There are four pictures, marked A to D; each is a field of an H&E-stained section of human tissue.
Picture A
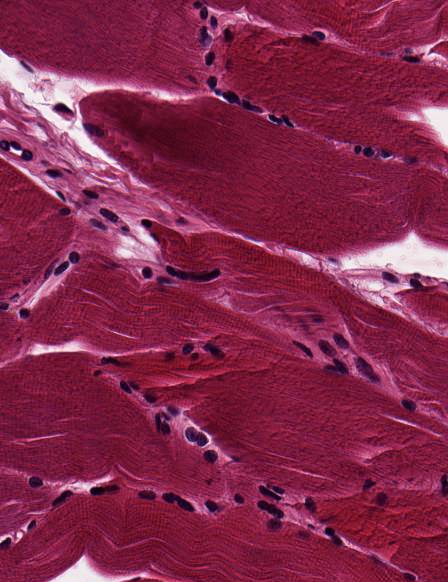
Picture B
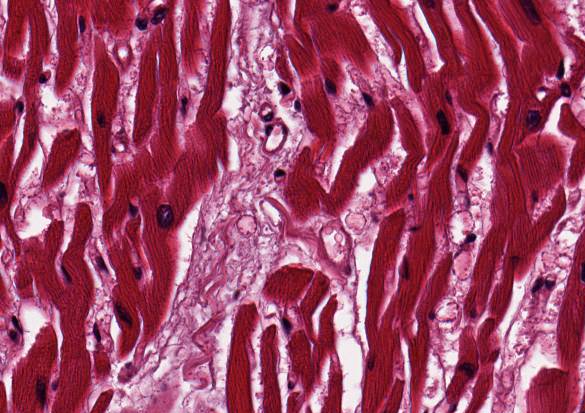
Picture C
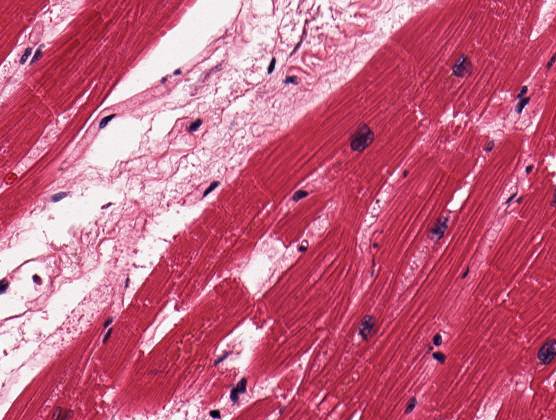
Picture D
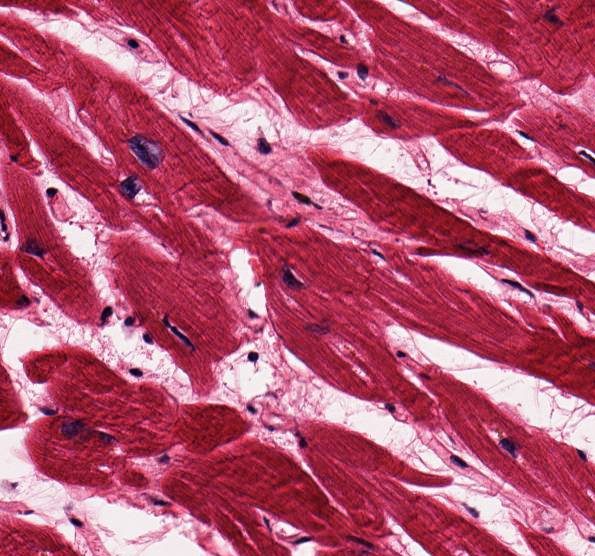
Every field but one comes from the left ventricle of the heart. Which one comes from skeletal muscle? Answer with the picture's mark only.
A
